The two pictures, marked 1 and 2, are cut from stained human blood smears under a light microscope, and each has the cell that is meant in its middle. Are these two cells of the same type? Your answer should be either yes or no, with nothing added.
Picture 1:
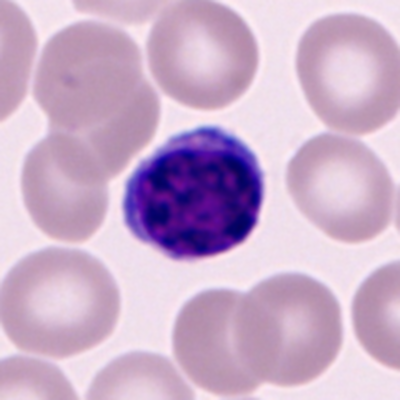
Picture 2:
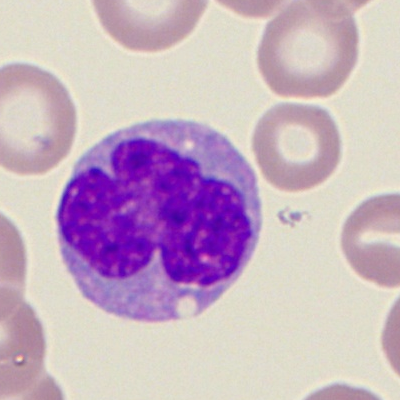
no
